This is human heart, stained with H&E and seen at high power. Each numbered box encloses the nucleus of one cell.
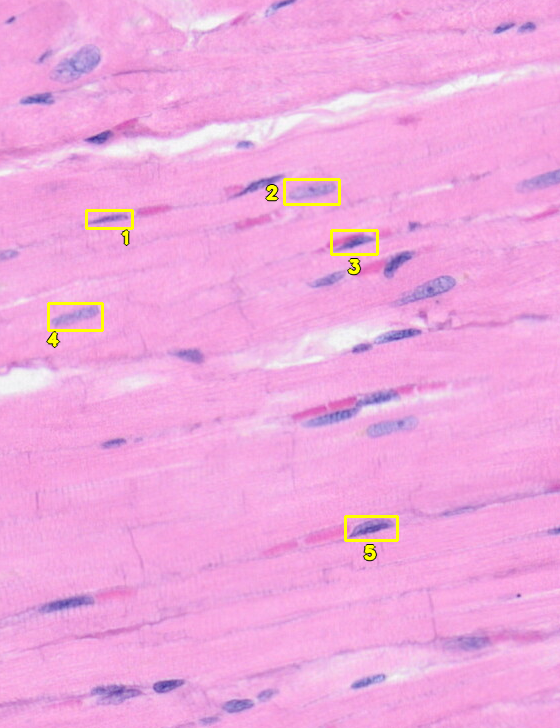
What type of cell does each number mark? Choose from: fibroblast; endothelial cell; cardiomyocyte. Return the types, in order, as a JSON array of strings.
["endothelial cell", "cardiomyocyte", "endothelial cell", "cardiomyocyte", "endothelial cell"]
